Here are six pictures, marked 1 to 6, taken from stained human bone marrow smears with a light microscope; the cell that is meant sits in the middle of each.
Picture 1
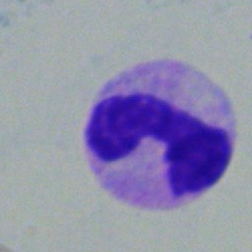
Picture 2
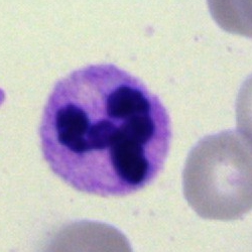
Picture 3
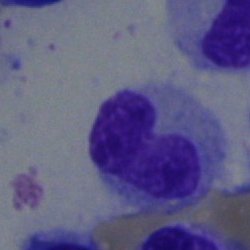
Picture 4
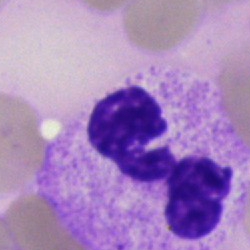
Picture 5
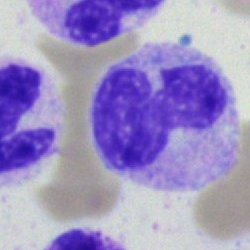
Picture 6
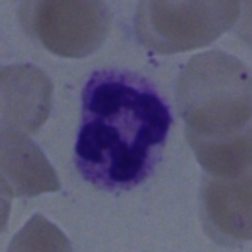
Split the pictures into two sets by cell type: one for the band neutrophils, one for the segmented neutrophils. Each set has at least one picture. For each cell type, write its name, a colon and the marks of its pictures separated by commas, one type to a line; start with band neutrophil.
band neutrophil: 1, 3, 5
segmented neutrophil: 2, 4, 6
